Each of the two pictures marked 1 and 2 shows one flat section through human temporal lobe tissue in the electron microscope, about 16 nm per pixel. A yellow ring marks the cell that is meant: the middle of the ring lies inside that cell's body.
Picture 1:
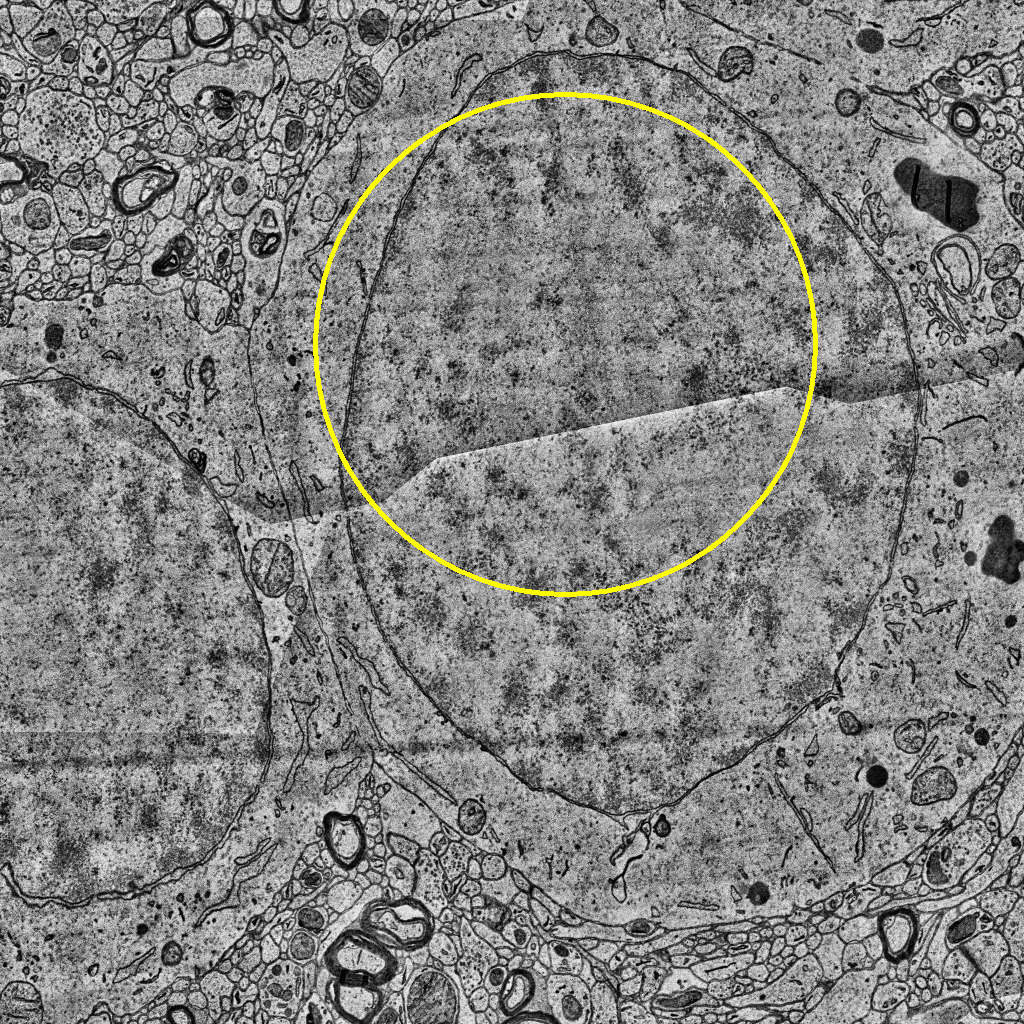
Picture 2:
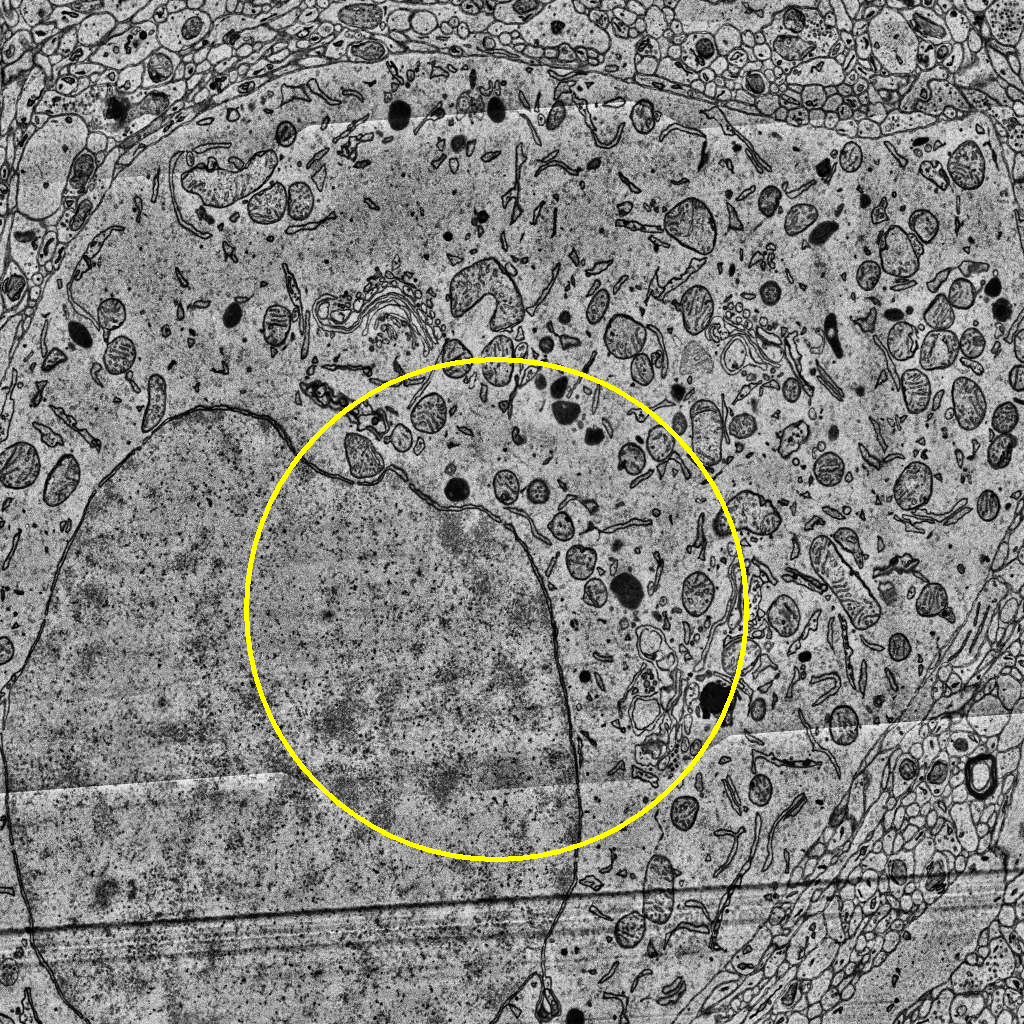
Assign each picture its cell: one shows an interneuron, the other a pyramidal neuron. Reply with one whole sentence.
Picture 2 shows an interneuron, while picture 1 shows a pyramidal neuron.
